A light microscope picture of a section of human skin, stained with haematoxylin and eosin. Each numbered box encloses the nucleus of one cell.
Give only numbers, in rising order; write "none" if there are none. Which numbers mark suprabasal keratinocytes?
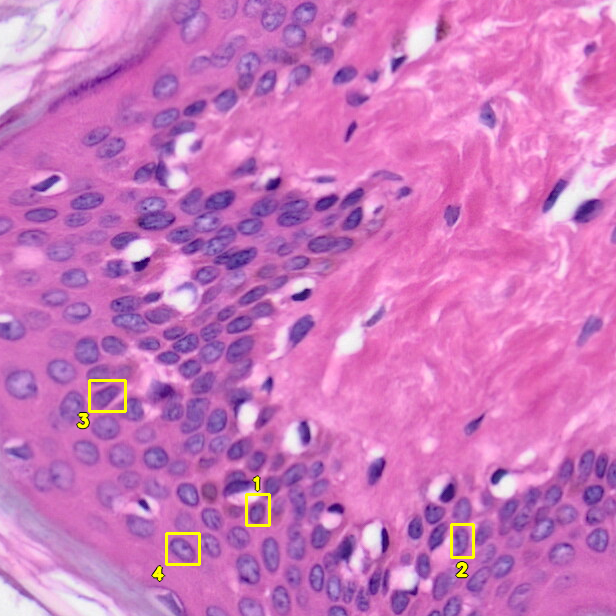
4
